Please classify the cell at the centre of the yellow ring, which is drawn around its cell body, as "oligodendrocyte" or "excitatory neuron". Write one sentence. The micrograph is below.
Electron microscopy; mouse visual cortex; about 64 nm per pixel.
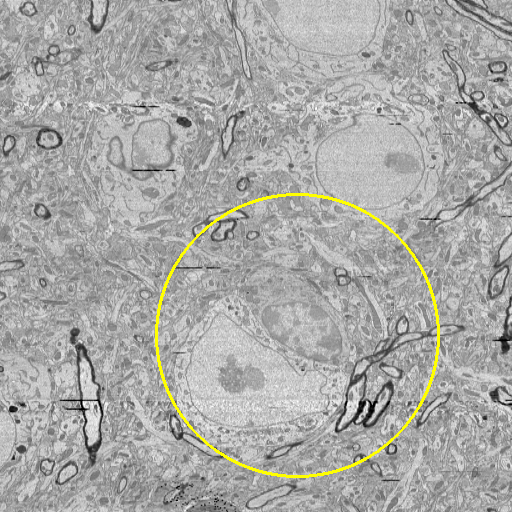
The cell at the ring's centre is classified as an oligodendrocyte.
